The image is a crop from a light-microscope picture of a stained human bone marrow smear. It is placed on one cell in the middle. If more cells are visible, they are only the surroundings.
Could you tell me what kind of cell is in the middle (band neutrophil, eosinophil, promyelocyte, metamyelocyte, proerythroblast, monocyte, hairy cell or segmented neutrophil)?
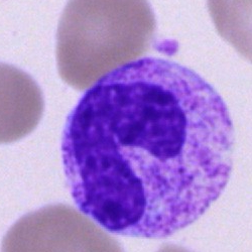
band neutrophil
